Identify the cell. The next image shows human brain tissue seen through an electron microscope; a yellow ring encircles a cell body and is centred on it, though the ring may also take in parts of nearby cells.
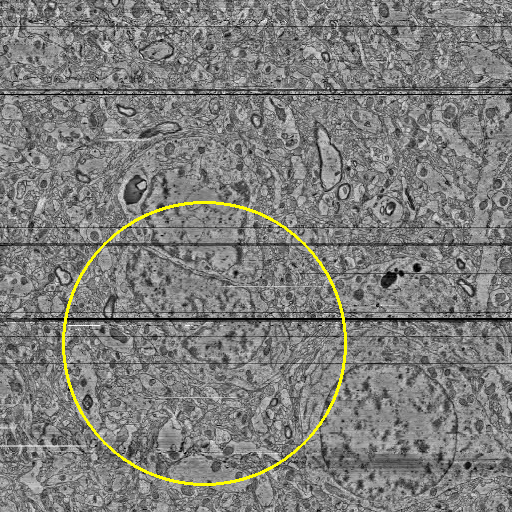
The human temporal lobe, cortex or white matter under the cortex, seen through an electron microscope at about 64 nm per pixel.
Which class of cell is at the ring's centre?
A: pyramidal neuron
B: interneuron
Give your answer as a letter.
B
